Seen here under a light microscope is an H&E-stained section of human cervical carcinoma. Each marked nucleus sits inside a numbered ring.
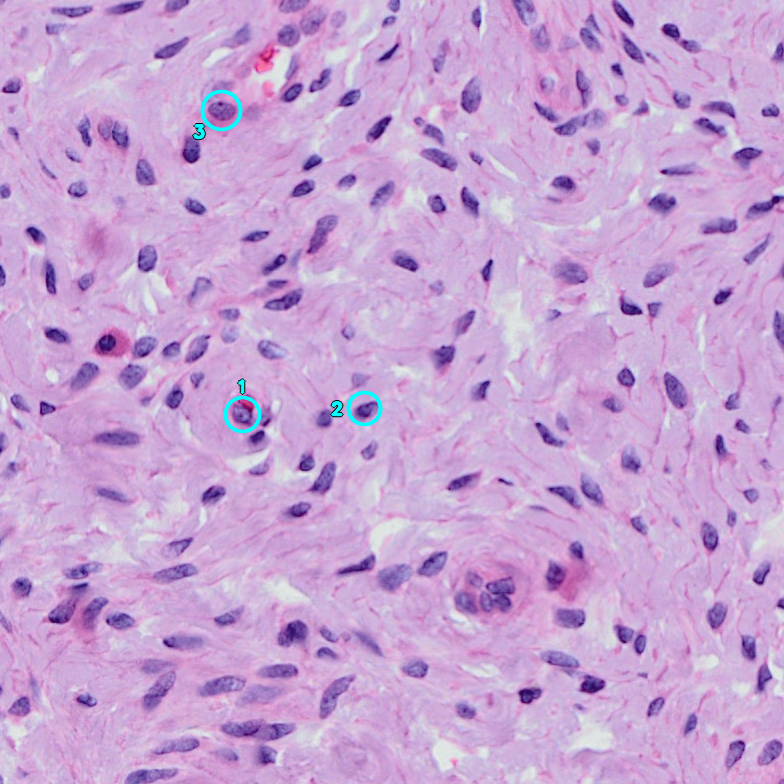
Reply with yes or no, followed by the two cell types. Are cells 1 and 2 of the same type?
No, as to type, cell 1 is an endothelial cell, and cell 2 is a fibroblast.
